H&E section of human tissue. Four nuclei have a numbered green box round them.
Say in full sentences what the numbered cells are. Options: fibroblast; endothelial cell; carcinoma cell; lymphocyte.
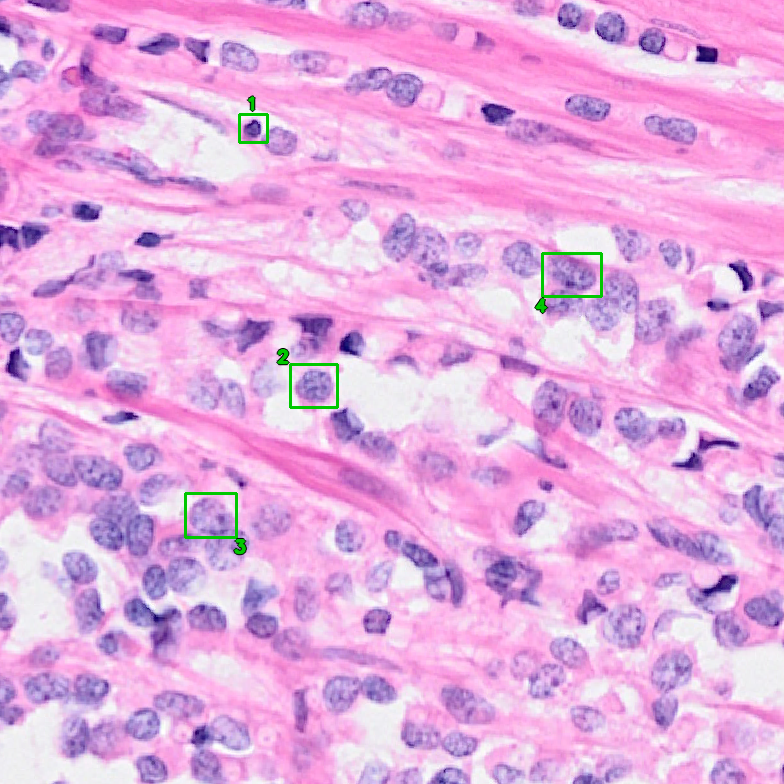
Cell 1 is a lymphocyte, cell 2 is a carcinoma cell, cell 3 is a carcinoma cell and cell 4 is a carcinoma cell.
